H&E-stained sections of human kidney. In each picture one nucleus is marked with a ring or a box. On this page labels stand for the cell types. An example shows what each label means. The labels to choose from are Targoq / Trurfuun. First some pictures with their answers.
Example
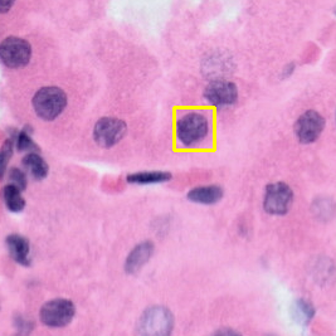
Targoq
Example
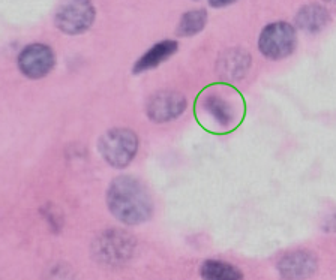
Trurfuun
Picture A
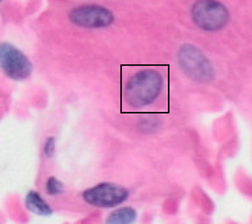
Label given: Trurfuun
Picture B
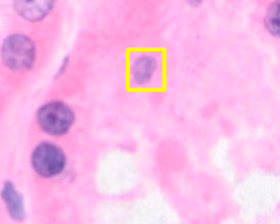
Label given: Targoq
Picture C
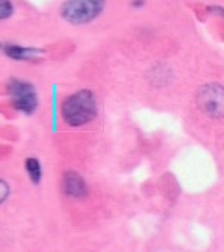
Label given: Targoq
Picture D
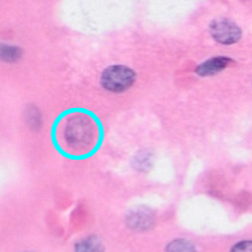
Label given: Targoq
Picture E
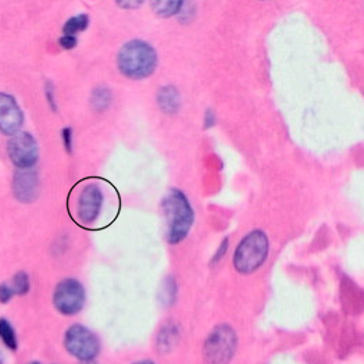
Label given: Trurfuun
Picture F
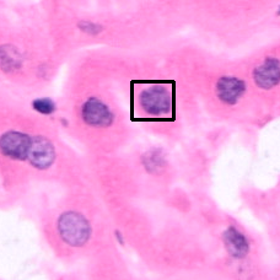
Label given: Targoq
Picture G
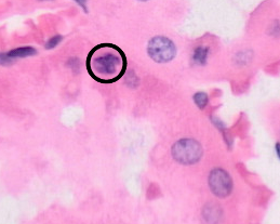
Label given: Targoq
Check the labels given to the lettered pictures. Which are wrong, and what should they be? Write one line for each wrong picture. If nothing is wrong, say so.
Wrong: A (Trurfuun); correct: Targoq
